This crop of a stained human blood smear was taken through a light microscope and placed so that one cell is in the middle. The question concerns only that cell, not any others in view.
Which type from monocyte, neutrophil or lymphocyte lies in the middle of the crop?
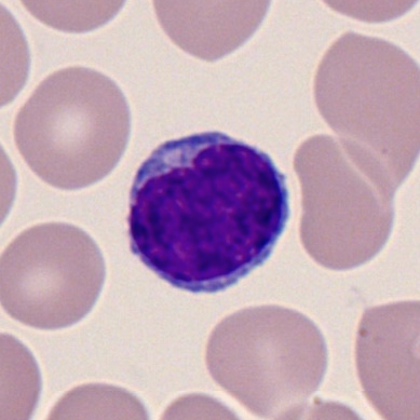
lymphocyte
